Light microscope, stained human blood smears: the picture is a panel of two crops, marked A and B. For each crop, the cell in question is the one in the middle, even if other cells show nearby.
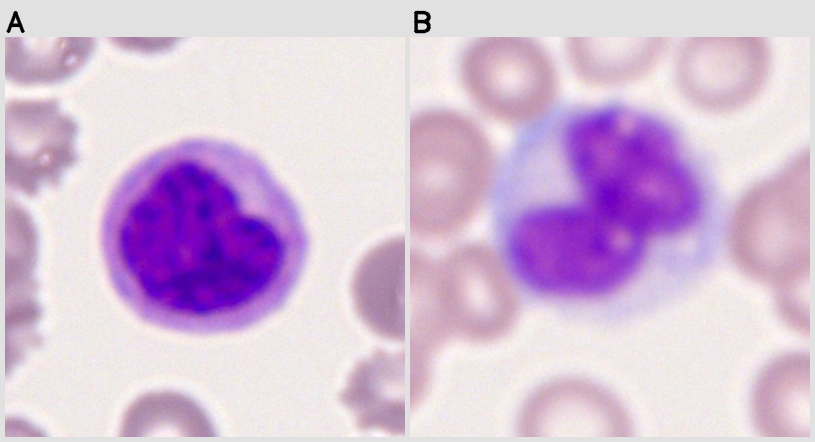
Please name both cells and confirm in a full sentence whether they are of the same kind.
Yes, in both of the crops, the central cells are monocytes.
